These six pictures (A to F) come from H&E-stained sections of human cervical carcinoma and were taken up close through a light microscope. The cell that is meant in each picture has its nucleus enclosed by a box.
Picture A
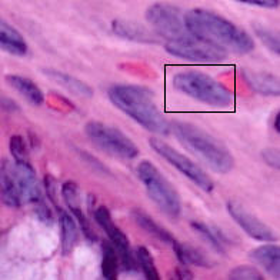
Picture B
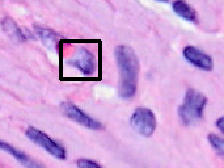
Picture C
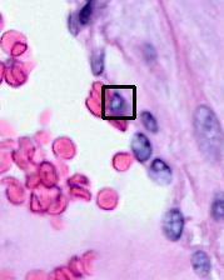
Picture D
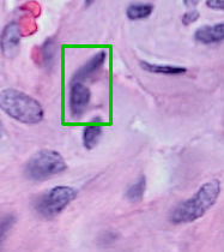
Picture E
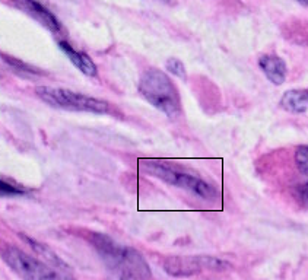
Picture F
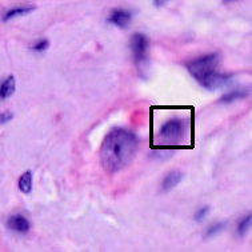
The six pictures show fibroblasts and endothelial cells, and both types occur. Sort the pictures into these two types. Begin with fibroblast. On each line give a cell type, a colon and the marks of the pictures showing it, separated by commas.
fibroblast: D, E
endothelial cell: A, B, C, F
